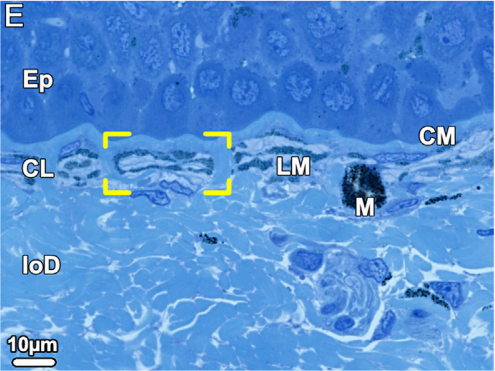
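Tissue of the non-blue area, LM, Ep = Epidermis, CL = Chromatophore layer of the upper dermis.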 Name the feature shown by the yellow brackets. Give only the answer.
Turning 180° back on themselves.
